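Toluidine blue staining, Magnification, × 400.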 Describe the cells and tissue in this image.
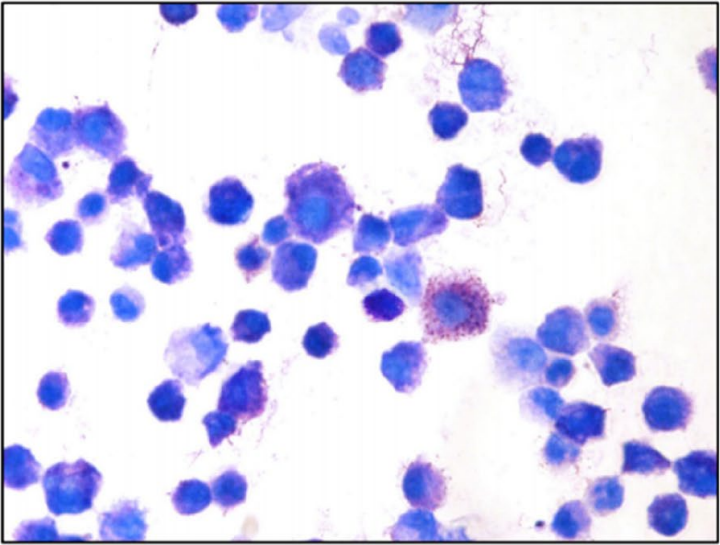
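Dispersed mast cells lie singly and in small clusters. Most cells are round to slightly irregular, with a single round to oval nucleus that stains deep blue and fills much of the cell. In several cells the cytoplasm holds purple-violet granules. These granules are densest in one cell near the centre, where they are coarse and pack the cytoplasm around a paler nucleus. Other cells show a thinner rim of paler blue cytoplasm.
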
